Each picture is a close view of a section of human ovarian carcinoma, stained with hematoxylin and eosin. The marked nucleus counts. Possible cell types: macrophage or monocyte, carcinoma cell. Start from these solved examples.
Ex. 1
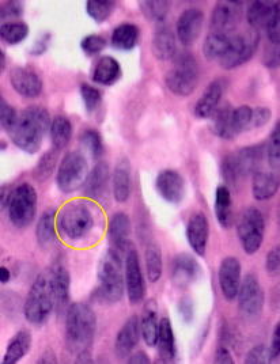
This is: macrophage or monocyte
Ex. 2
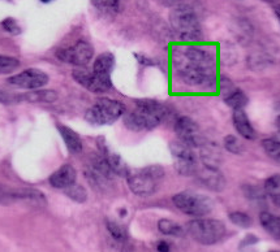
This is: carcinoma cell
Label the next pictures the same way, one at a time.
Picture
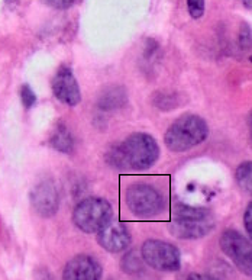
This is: carcinoma cell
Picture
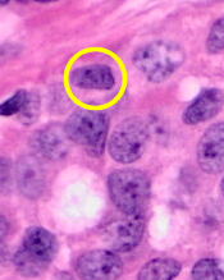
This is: macrophage or monocyte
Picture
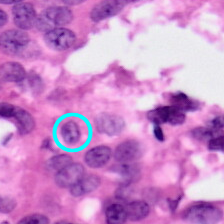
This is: macrophage or monocyte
